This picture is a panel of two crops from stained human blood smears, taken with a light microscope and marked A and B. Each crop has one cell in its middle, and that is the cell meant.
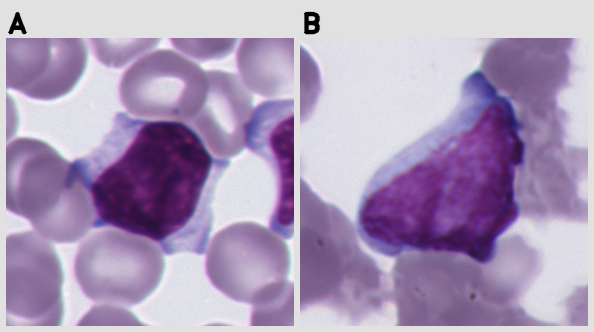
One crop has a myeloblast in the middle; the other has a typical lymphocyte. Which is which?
A: typical lymphocyte
B: myeloblast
